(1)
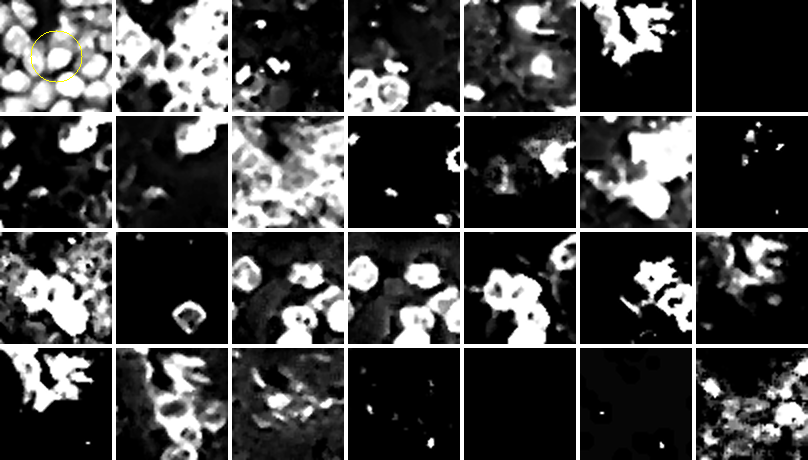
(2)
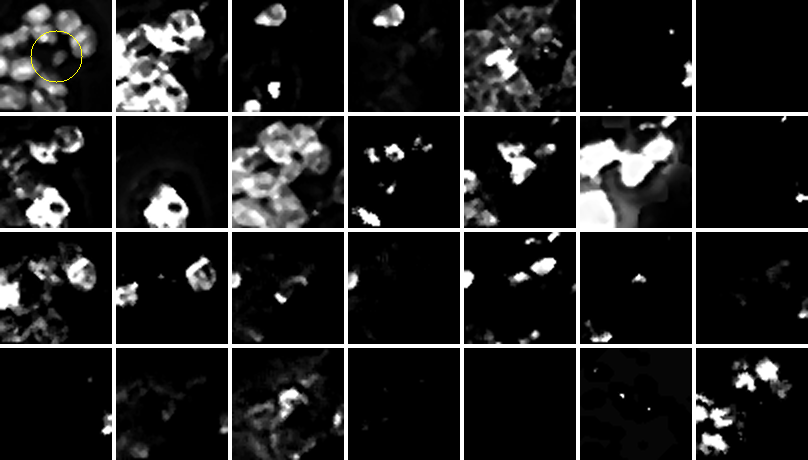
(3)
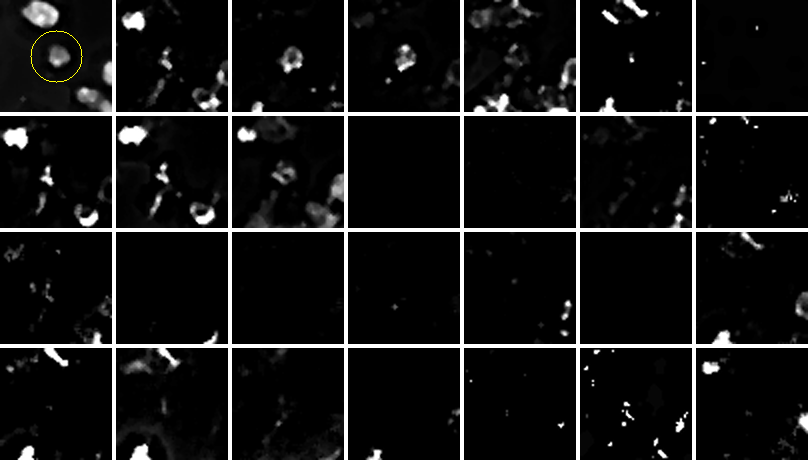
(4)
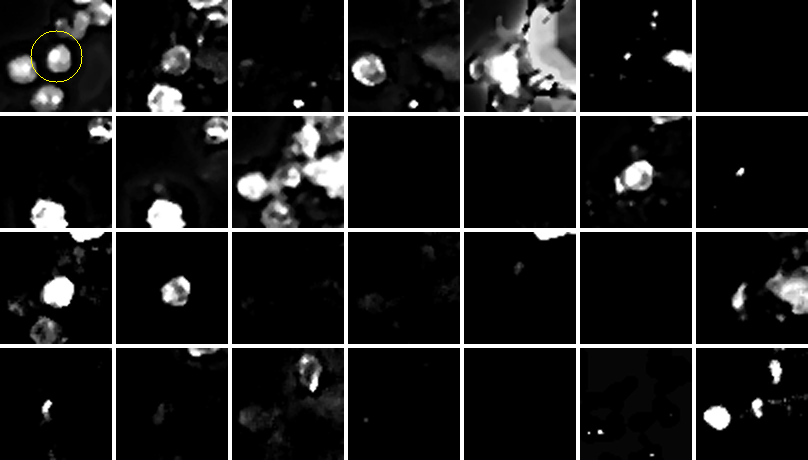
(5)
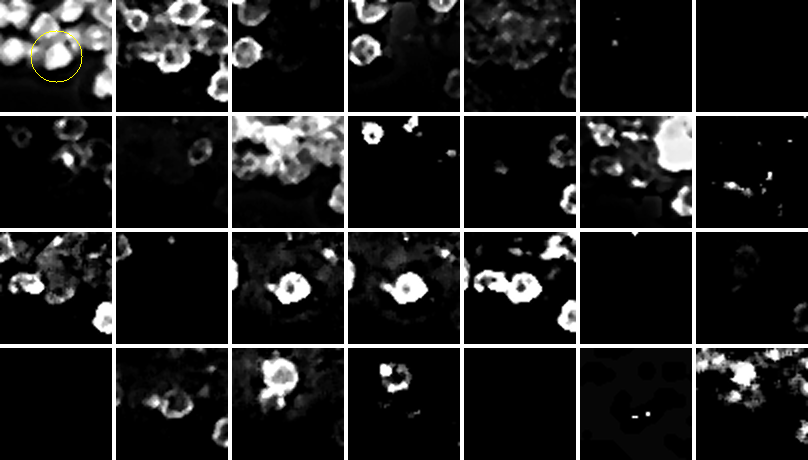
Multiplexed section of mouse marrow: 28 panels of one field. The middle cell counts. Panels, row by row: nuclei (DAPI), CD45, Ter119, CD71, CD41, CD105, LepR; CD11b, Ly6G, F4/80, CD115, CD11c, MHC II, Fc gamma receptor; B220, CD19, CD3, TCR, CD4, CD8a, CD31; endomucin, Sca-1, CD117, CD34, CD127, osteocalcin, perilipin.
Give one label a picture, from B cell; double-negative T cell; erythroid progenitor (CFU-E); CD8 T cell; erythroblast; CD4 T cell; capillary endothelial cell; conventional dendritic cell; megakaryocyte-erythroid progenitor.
1: erythroid progenitor (CFU-E)
2: megakaryocyte-erythroid progenitor
3: erythroblast
4: B cell
5: CD4 T cell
